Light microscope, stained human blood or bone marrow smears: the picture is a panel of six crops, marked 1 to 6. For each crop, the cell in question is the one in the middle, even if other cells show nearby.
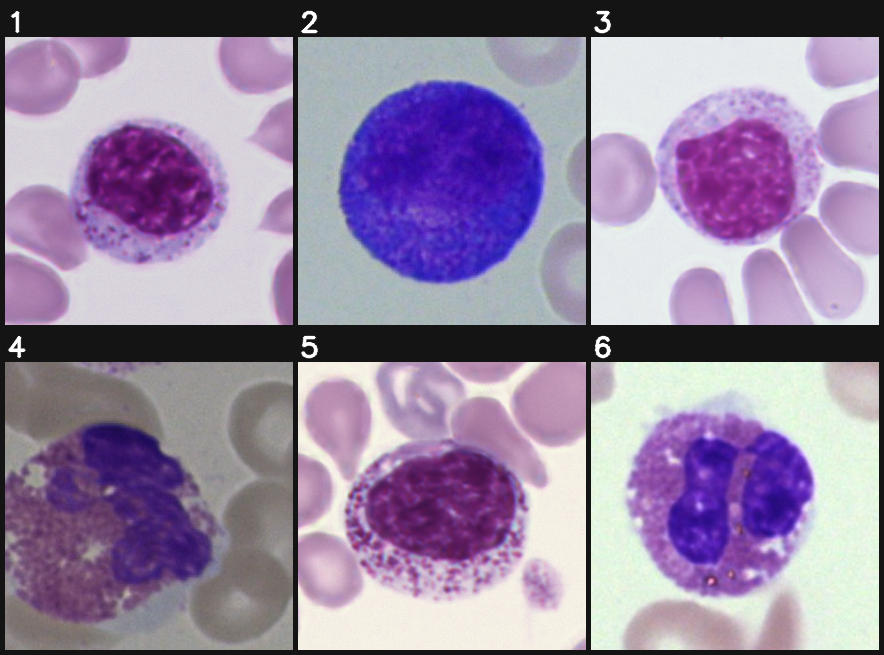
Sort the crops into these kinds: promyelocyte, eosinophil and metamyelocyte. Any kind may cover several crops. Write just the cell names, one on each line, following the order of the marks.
metamyelocyte
promyelocyte
metamyelocyte
eosinophil
metamyelocyte
eosinophil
